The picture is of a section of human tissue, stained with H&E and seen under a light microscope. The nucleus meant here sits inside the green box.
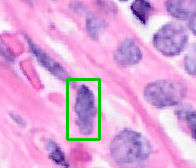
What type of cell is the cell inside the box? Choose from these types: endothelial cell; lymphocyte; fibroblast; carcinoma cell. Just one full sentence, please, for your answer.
In short, the cell inside the box on this section is an endothelial cell.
